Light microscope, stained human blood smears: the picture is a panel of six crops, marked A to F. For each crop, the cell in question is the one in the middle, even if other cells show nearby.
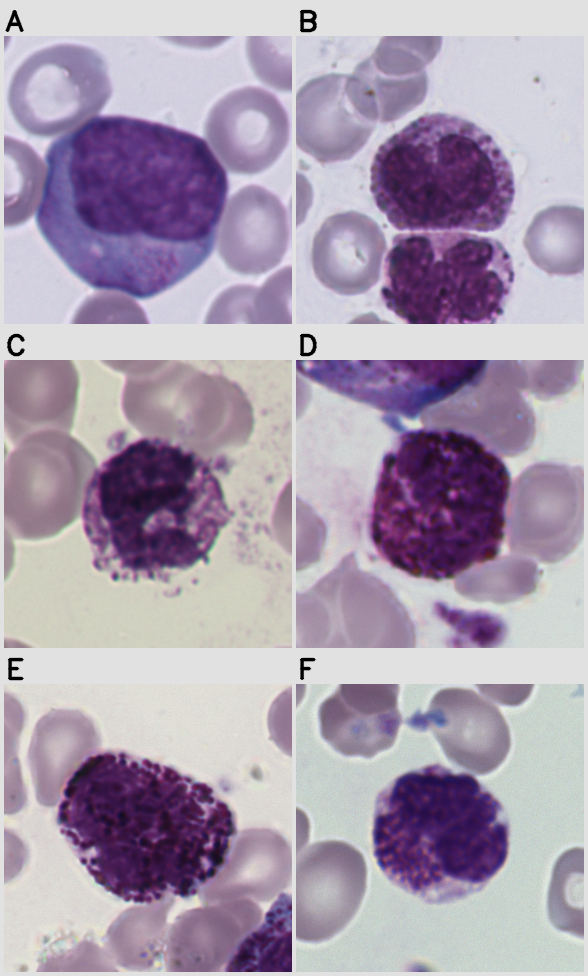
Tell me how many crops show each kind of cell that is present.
basophil: 5
promyelocyte: 1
